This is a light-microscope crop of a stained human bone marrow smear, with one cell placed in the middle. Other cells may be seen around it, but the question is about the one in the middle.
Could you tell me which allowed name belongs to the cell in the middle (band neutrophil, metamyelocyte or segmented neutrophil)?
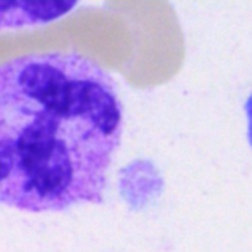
segmented neutrophil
